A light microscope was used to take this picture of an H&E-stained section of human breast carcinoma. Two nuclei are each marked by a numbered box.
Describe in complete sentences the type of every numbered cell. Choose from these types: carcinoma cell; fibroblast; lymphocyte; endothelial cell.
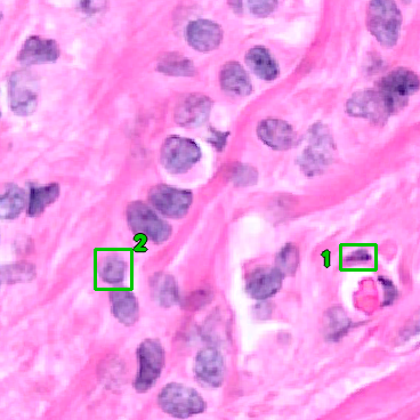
Cell 1 is an endothelial cell. Cell 2 is a carcinoma cell.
